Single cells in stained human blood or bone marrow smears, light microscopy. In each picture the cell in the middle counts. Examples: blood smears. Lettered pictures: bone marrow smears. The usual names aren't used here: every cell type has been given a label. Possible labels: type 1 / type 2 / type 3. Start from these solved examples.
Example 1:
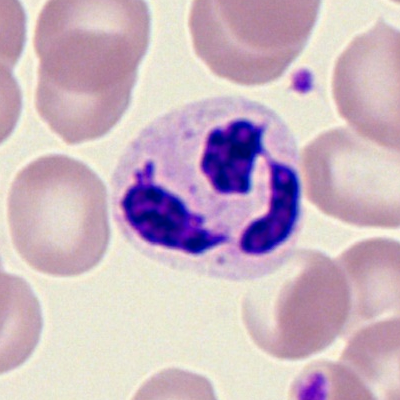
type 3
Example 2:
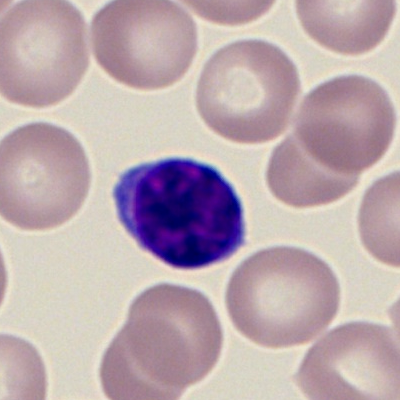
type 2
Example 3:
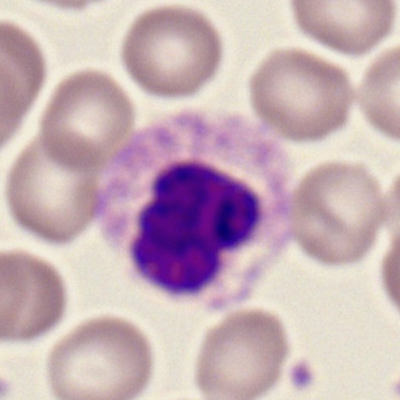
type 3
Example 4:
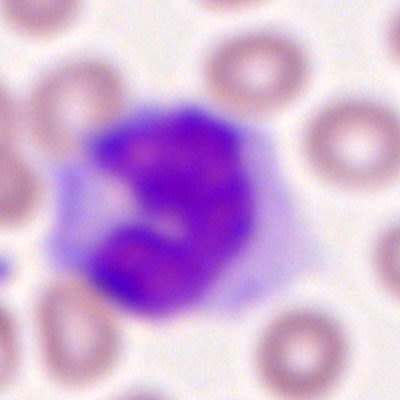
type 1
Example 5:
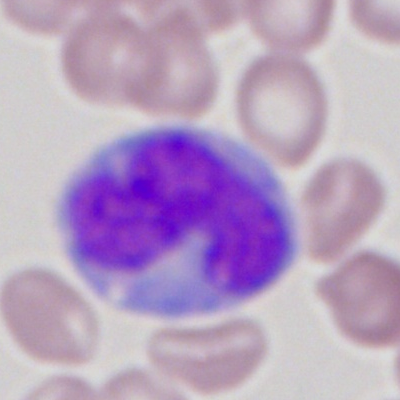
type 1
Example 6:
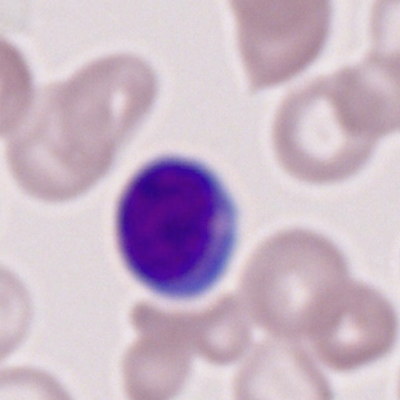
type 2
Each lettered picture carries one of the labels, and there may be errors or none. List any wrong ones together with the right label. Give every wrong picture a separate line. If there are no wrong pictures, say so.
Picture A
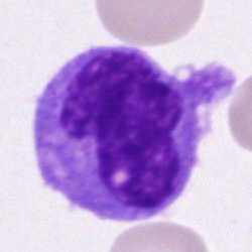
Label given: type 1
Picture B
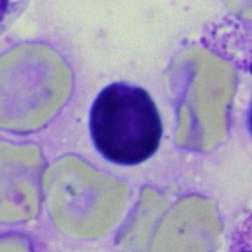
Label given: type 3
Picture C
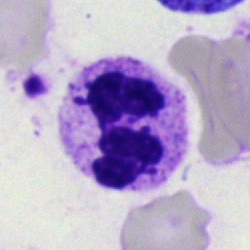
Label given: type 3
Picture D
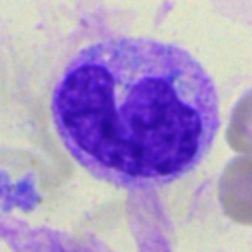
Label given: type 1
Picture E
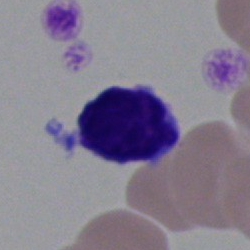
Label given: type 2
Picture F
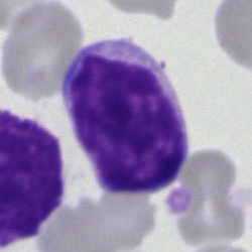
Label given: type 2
B is labelled type 3; correct label: type 2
